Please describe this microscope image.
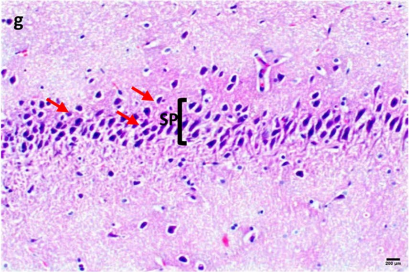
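This section of the hippocampus shows a band of pyramidal neurons in pink-stained neuropil. Many neurons in the band are small, shrunken and intensely dark purple, with dense nuclei in which no detail can be made out. Their outlines are angular or elongated, and few processes extend from them. Clear spaces separate many of the cells within the band. Scattered small dark glial nuclei and capillaries lie in the surrounding pale neuropil.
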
